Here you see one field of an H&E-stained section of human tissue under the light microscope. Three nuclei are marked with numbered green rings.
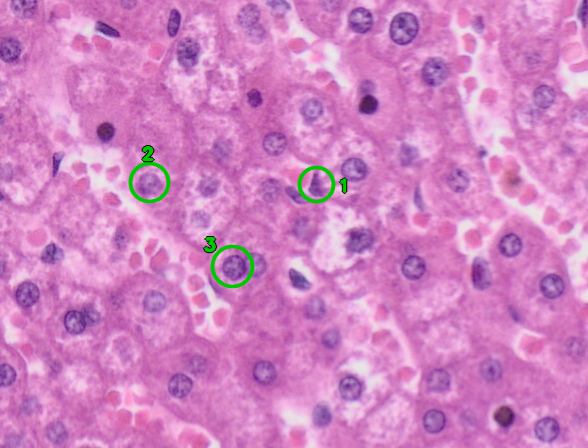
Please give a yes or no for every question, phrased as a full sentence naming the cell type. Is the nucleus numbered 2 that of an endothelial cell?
No, cell 2 is not an endothelial cell; a hepatocyte is correct.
